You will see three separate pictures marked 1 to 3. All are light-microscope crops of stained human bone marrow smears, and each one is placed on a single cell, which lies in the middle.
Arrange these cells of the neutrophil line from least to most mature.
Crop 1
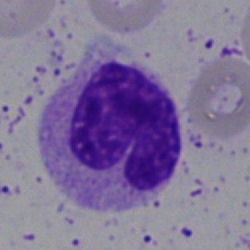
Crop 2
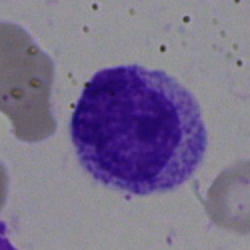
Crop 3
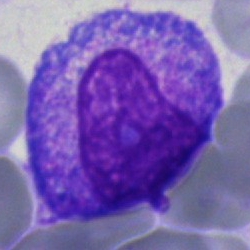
3, 2, 1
